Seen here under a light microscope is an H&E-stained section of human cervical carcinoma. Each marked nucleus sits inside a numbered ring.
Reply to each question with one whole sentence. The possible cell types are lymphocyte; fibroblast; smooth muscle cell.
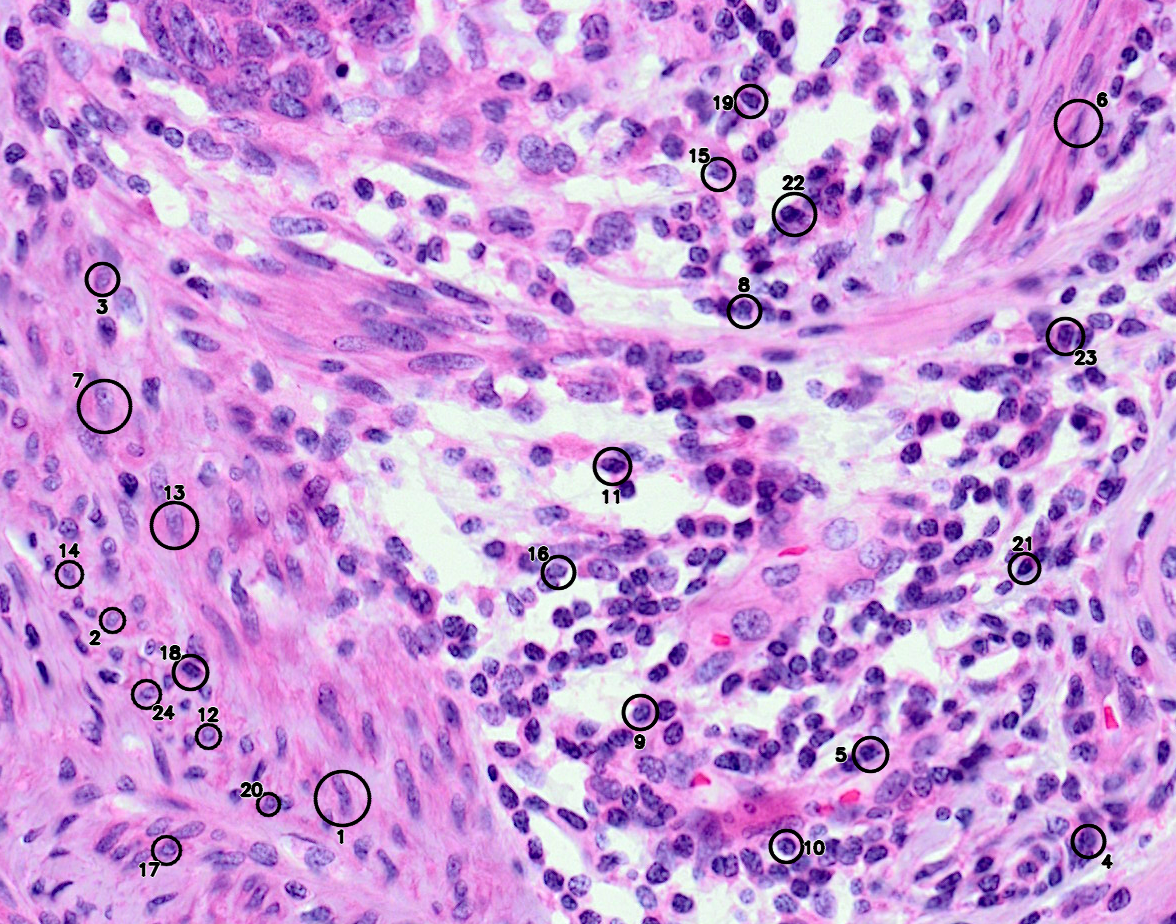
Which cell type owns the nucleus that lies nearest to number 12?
It is a smooth muscle cell whose nucleus is nearest to number 12.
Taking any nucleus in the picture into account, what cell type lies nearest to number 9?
Number 9 lies closest to the nucleus of a lymphocyte.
